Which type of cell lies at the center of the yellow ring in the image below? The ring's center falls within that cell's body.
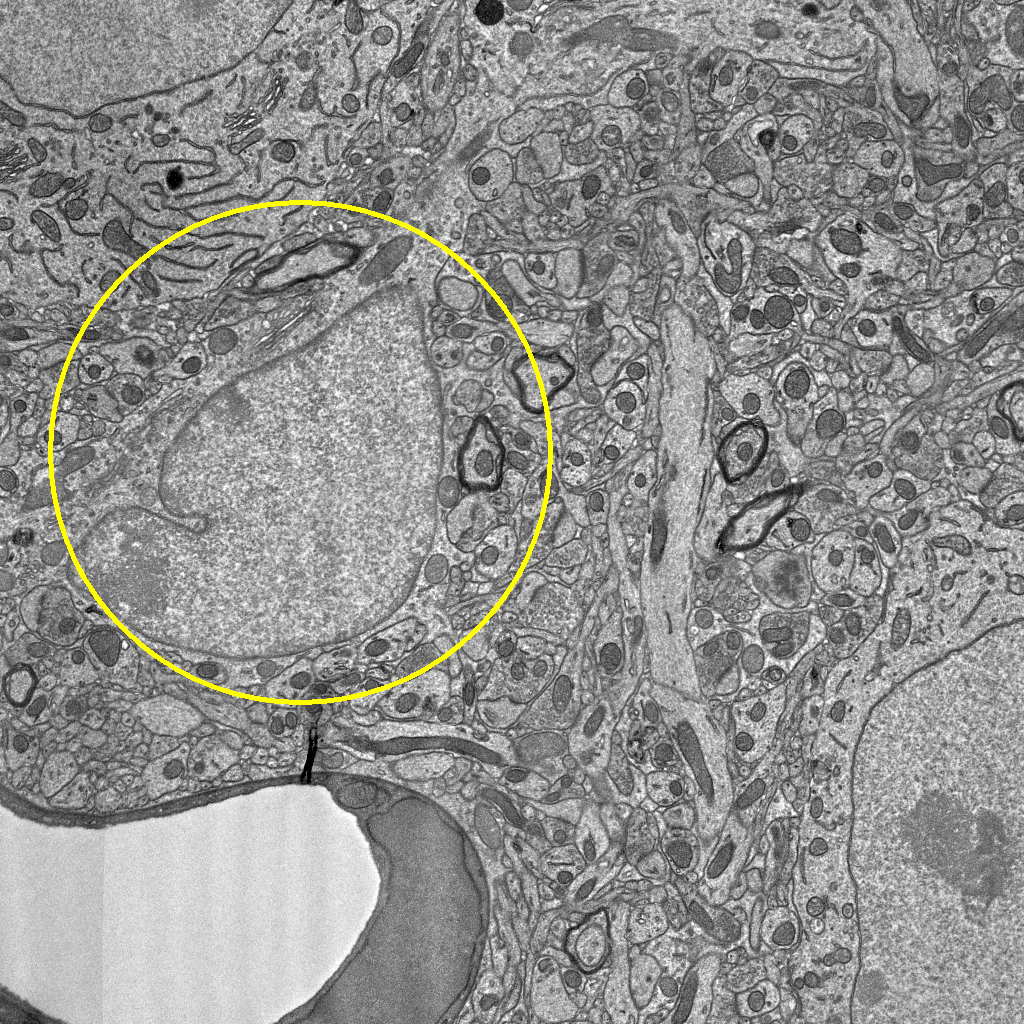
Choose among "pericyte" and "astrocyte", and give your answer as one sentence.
The cell body at the center belongs to an astrocyte.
